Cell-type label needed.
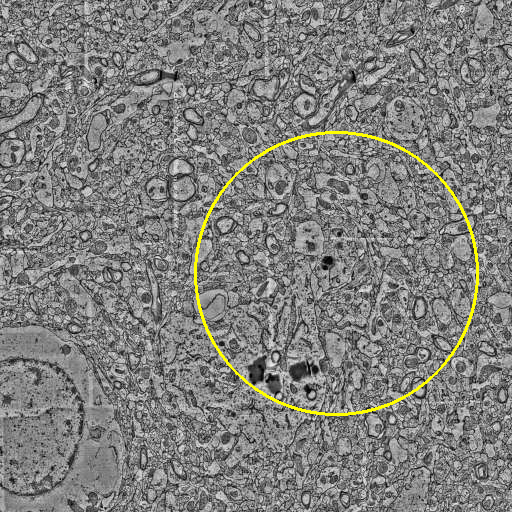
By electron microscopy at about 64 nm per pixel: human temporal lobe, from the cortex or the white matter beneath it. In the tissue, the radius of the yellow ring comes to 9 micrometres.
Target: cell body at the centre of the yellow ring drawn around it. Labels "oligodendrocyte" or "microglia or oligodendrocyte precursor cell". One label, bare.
microglia or oligodendrocyte precursor cell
